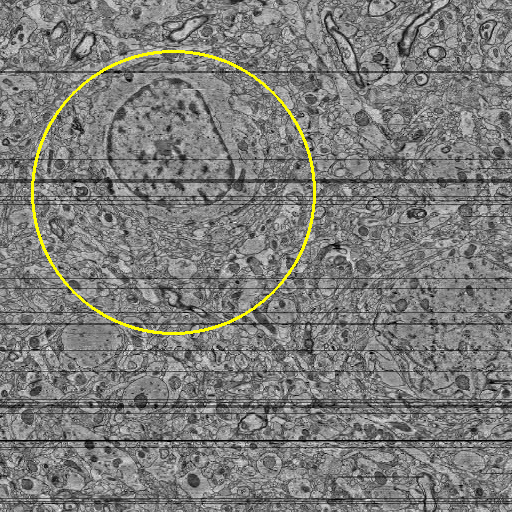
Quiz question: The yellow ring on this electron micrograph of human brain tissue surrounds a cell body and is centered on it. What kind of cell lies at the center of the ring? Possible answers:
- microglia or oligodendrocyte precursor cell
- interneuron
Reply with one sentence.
The ring's center lies on a microglial cell or oligodendrocyte precursor cell.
